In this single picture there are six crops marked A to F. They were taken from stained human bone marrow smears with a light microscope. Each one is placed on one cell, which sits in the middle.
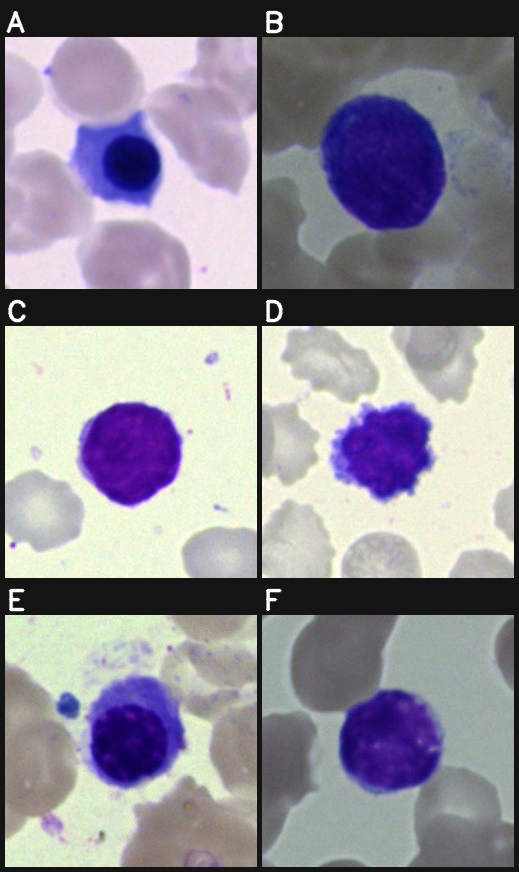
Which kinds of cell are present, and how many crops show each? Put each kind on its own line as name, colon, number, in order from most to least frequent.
lymphocyte: 3
erythroblast: 2
blast: 1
